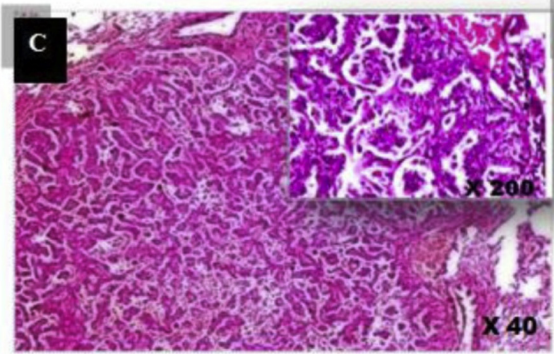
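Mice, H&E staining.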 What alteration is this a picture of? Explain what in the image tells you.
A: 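A large, densely cellular, sharply bounded mass replaces the alveolar tissue. The mass is made of branching, irregular finger-like fronds. Inset shows fronds covered by crowded darkly stained cells. So: a well-defined tumor formed of irregular papillae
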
